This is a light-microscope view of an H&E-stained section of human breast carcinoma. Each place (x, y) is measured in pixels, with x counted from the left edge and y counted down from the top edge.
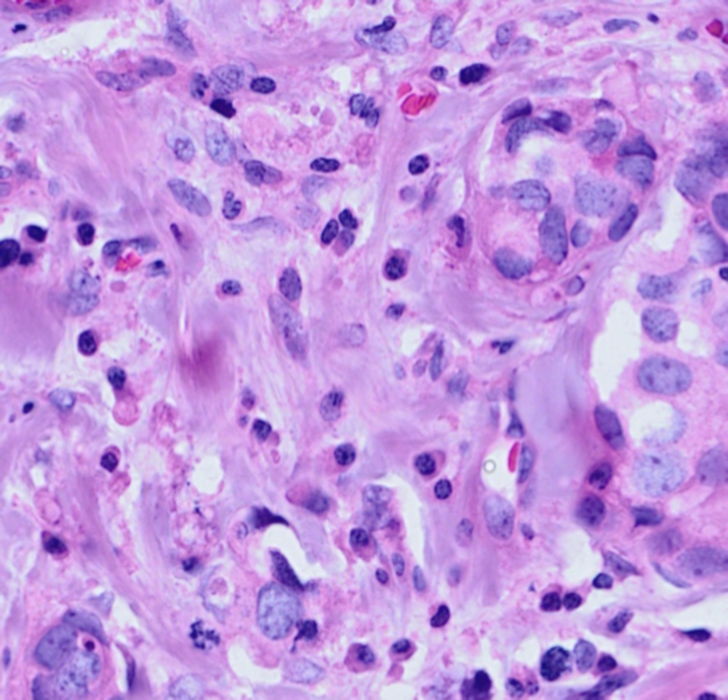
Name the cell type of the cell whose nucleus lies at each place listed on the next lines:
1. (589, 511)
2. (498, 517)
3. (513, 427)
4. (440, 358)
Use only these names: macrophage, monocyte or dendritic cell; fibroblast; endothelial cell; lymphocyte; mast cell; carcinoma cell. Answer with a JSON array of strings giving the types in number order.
["carcinoma cell", "endothelial cell", "endothelial cell", "fibroblast"]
